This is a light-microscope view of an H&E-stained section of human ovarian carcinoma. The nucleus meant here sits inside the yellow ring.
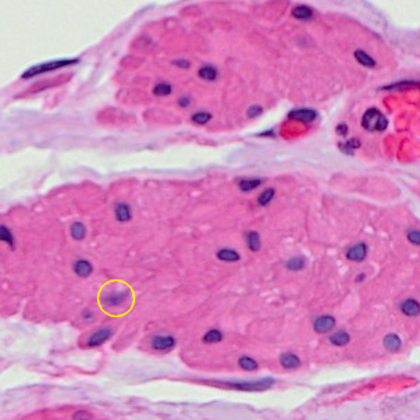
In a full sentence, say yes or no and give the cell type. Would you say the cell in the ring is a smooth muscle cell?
Yes, the cell in the ring is correctly named as a smooth muscle cell.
